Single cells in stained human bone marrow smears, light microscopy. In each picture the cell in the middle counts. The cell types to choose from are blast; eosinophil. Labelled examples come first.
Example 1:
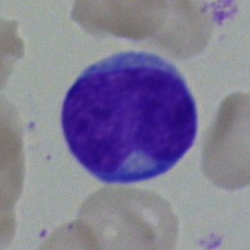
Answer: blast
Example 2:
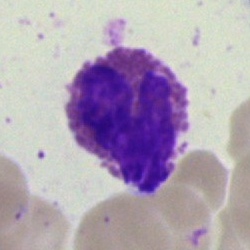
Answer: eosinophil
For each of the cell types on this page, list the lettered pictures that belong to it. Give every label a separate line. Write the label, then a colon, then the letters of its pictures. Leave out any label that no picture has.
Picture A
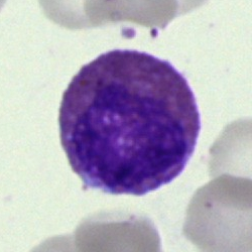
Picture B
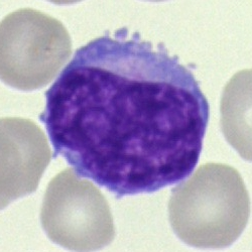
blast: B
eosinophil: A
